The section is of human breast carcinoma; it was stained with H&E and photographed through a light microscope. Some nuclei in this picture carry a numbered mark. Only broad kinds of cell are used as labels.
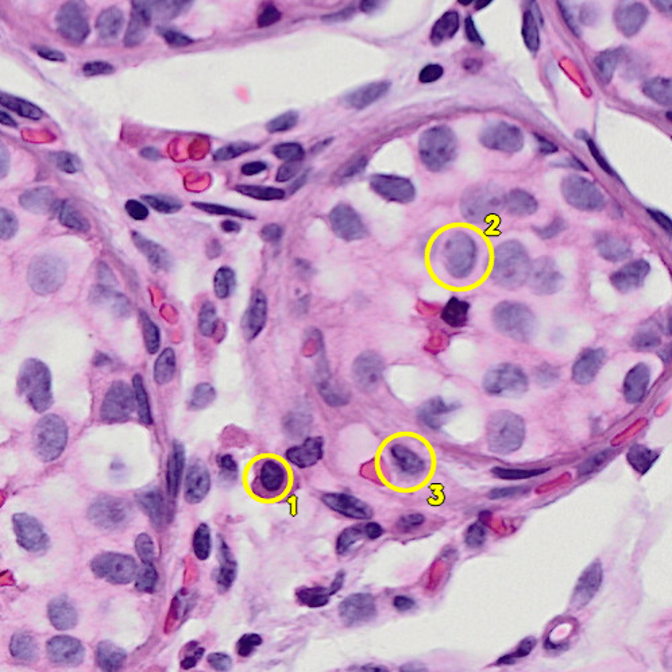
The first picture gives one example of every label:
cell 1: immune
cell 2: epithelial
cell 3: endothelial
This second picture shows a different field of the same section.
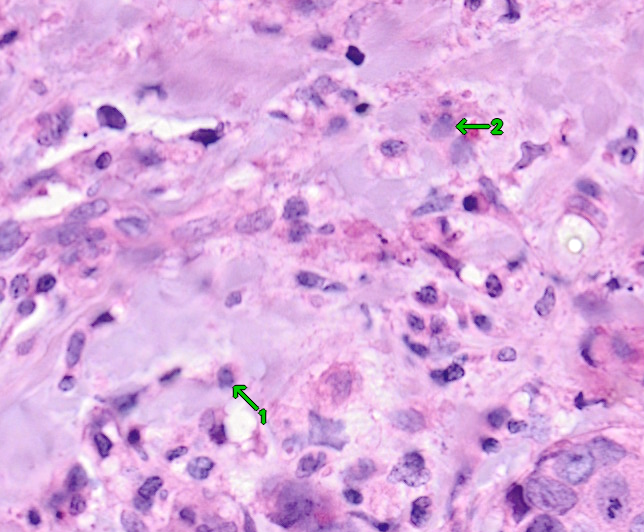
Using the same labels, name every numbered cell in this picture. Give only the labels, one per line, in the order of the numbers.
immune
endothelial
